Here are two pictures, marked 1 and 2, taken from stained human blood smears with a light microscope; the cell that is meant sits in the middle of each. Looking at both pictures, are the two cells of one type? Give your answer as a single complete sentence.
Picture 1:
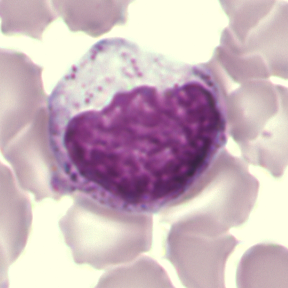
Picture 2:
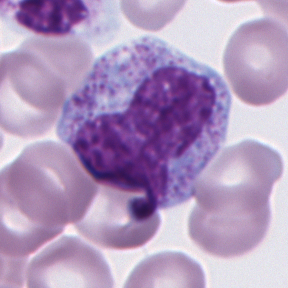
Yes, both cells are myelocytes.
